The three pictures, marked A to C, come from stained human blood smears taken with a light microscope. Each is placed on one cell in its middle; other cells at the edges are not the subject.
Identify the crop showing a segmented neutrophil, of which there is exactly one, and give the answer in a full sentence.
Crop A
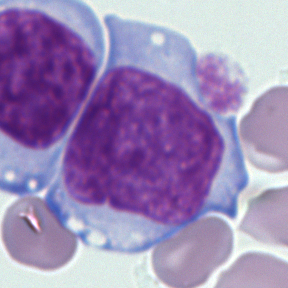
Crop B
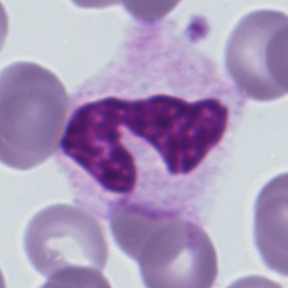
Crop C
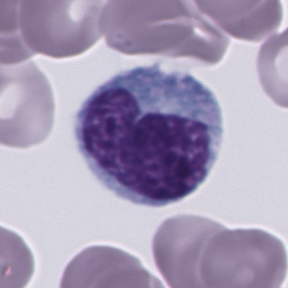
The crop bearing a segmented neutrophil is crop B.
